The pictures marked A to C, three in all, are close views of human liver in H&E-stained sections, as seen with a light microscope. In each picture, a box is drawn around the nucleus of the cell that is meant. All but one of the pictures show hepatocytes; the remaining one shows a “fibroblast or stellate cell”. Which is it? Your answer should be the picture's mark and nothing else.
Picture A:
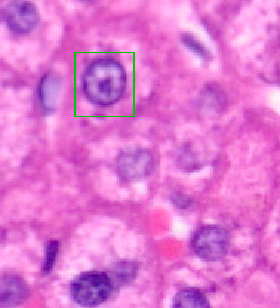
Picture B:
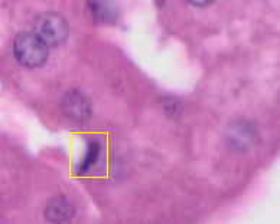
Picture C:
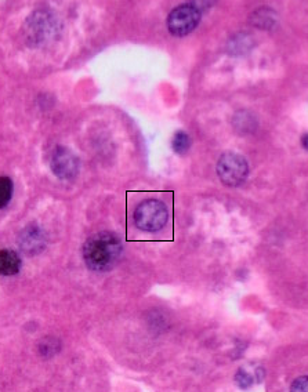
B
